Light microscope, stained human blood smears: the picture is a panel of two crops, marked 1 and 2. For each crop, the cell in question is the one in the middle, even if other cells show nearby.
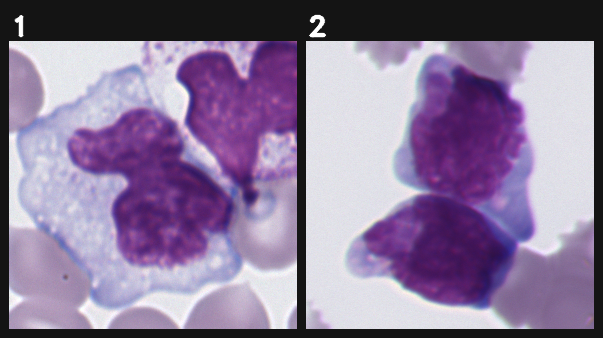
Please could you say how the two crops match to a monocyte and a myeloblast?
1: monocyte
2: myeloblast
